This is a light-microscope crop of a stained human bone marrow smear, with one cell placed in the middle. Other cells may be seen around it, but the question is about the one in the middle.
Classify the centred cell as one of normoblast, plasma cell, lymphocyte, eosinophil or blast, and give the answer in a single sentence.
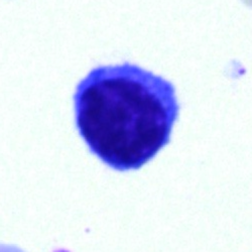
This crop is built around a lymphocyte at its centre.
